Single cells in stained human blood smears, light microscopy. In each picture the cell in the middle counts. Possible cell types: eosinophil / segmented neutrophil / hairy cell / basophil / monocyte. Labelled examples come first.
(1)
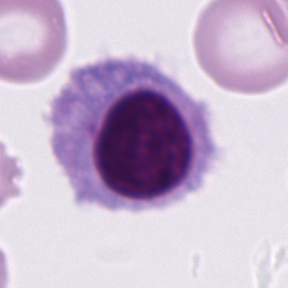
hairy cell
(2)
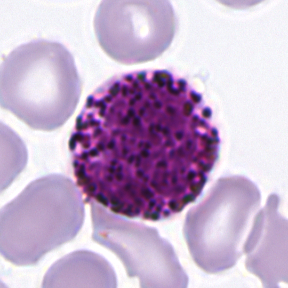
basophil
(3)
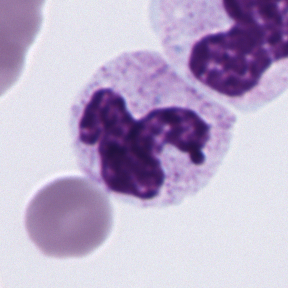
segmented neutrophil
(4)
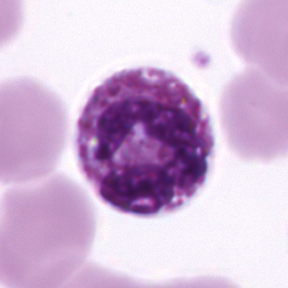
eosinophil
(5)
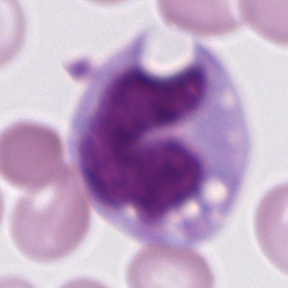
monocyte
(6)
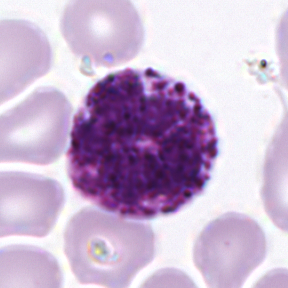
basophil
